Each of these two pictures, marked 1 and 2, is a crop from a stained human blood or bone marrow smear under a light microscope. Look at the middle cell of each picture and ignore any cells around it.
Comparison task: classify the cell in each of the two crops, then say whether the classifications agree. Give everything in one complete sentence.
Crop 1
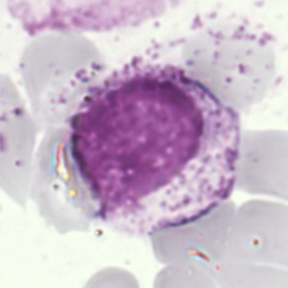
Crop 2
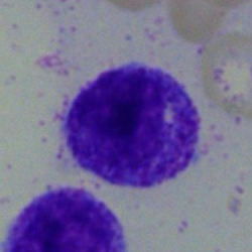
Yes, the cells found in the middle of both crops are myelocytes.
